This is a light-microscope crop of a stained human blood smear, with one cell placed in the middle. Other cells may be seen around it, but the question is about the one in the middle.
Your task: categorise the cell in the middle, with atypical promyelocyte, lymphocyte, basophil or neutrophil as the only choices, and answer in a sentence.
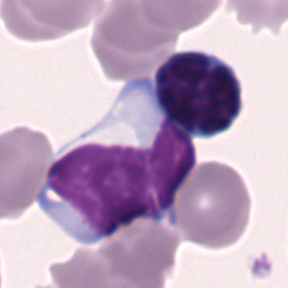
The cell occupying the middle of the crop is a lymphocyte.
